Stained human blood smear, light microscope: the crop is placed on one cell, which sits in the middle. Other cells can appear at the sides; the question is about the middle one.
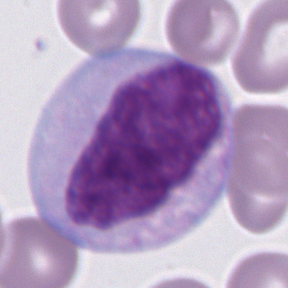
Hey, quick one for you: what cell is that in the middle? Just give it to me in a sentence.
In the middle of this smear crop is a promyelocyte.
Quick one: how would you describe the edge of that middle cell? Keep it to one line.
Nothing juts out from the margin, which is smooth throughout.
